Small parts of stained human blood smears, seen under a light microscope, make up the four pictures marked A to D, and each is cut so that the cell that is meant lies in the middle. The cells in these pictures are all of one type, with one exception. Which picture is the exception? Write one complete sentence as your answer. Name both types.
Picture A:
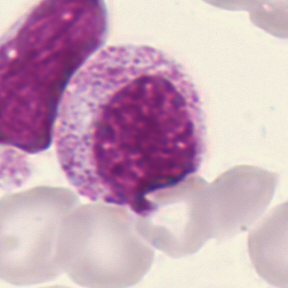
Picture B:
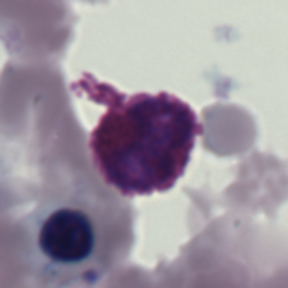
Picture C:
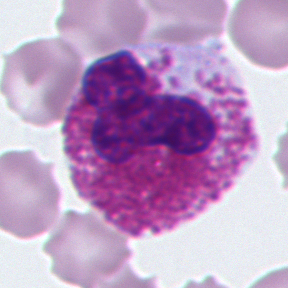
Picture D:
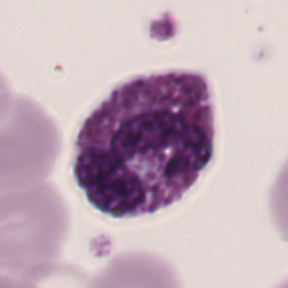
Picture A differs, because its cell is a myelocyte and the rest are eosinophils.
